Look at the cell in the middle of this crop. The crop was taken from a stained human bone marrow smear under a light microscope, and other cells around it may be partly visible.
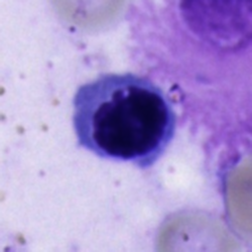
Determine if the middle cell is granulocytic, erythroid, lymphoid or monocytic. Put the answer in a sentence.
The cell at the center is a representative of the erythroid lineage.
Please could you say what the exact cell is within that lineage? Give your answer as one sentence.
Looking at the middle of the crop, the cell there is an erythroblast.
